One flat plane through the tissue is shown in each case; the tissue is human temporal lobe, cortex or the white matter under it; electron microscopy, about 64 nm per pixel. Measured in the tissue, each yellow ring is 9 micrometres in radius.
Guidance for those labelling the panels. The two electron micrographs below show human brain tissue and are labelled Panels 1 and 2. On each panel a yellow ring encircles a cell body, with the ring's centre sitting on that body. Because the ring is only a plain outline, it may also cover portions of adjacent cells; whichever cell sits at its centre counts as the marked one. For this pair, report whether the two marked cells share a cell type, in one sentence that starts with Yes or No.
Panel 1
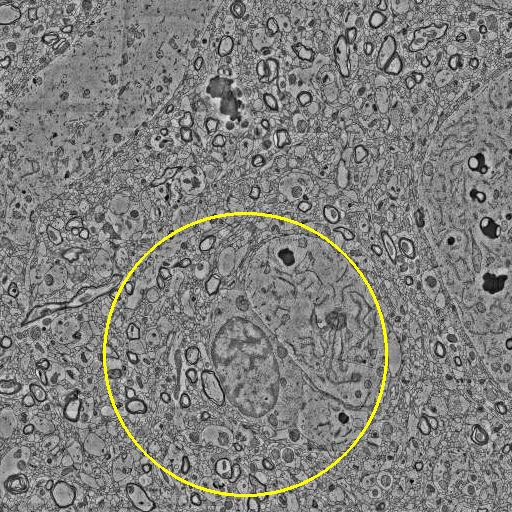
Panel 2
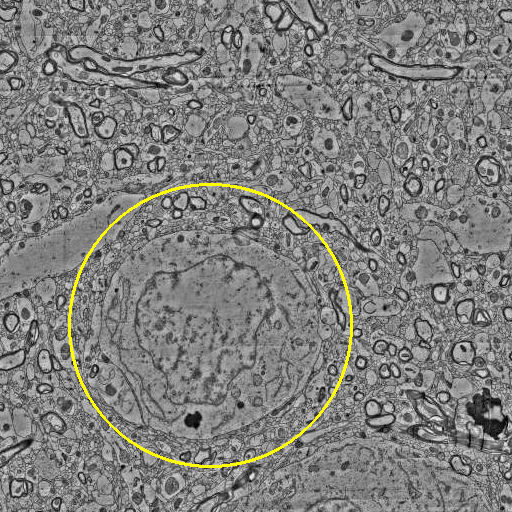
No, in Panel 1 and Panel 2 the marked cells at the ring centres are of two types.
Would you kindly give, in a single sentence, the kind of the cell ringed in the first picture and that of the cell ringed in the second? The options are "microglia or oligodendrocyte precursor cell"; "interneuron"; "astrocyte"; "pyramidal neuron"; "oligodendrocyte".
The second cell is a pyramidal neuron, and the first cell is an oligodendrocyte.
